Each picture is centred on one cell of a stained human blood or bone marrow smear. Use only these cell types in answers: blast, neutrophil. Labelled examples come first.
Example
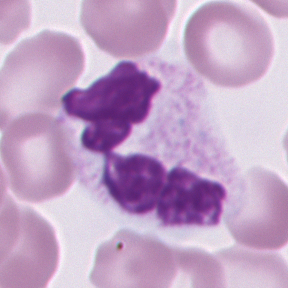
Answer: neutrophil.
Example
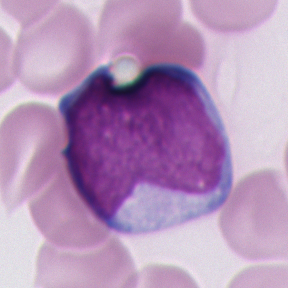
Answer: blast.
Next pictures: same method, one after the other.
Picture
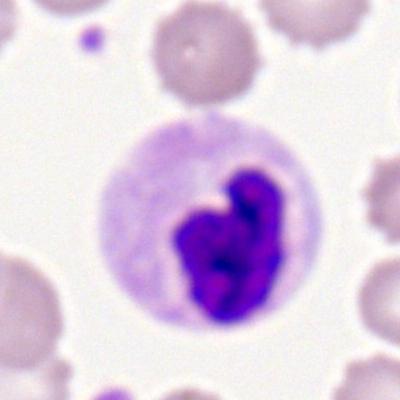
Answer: neutrophil.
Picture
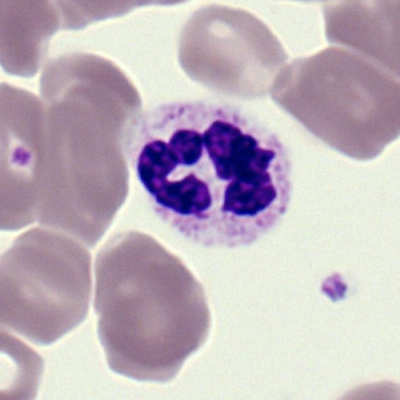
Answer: neutrophil.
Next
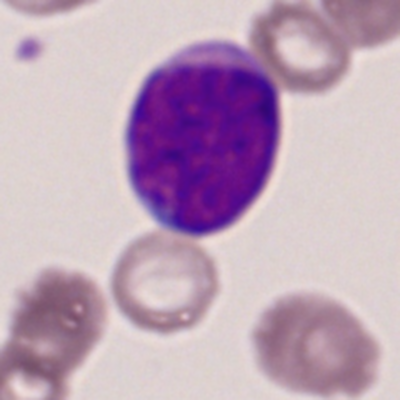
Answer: blast.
